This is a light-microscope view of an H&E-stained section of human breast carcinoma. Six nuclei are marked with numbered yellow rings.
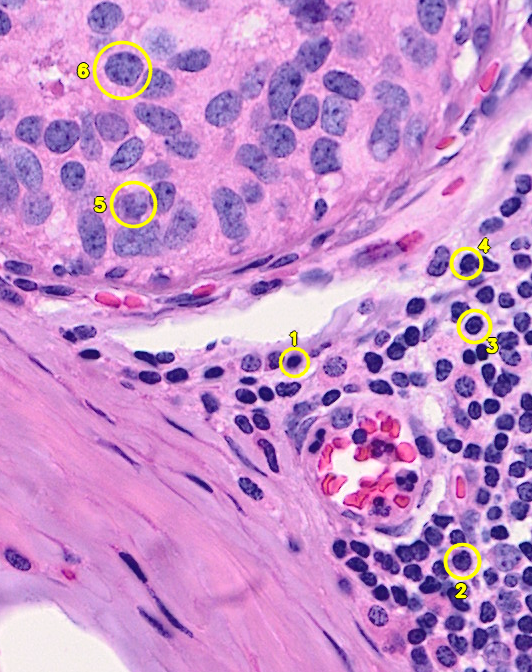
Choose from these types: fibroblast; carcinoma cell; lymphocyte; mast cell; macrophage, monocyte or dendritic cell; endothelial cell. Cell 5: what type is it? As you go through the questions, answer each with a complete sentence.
The cell numbered 5 has been identified as a carcinoma cell.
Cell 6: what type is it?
Within this field of view, the cell labelled 6 is a carcinoma cell.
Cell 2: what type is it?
Cell 2 should be recorded as a lymphocyte.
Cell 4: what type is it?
In this section, the cell tagged 4 is a lymphocyte.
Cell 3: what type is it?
The cell marked with number 3 is a lymphocyte.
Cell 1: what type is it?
Here, the cell given the number 1 is a lymphocyte.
